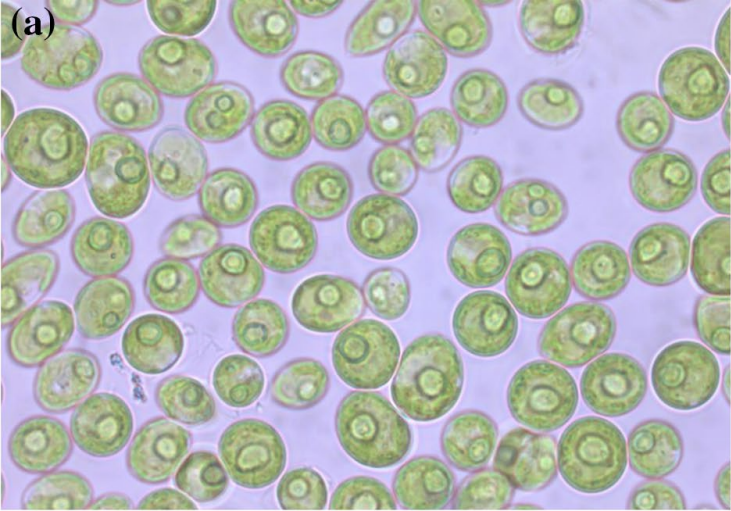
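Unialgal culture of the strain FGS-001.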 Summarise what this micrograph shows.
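In nearly every cell a single round, refractile body with a distinct ring-like rim sits inside, often near the centre. A few cells look paler and partly empty.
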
